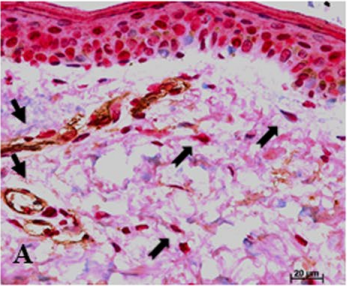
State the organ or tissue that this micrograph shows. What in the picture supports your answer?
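A stratified epithelium of closely packed nucleated cells runs along the top. Loose connective tissue with scattered cells and vessels lies beneath it.
Skin.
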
